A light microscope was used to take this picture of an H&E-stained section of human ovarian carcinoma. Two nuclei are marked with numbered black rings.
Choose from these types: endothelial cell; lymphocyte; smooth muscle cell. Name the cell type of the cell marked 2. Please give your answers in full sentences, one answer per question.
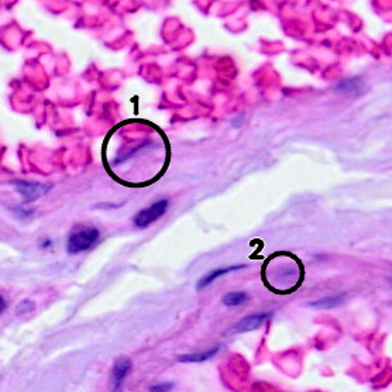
In the marked set, the cell given number 2 is a smooth muscle cell.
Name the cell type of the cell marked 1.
The marked cell with the number 1 is recognised as an endothelial cell.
